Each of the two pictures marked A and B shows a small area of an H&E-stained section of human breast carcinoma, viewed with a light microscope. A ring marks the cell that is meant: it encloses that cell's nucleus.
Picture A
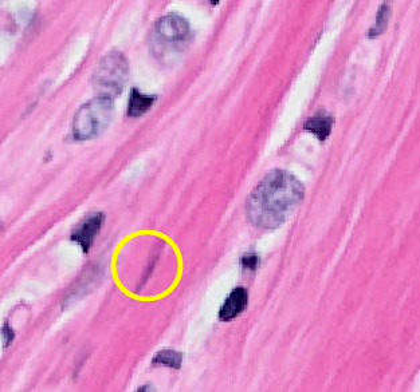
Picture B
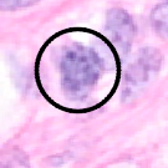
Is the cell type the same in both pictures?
no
